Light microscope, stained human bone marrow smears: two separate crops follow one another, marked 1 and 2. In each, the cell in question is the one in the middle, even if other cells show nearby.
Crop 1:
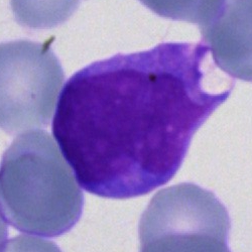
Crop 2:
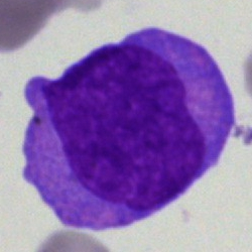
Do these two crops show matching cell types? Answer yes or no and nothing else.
yes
